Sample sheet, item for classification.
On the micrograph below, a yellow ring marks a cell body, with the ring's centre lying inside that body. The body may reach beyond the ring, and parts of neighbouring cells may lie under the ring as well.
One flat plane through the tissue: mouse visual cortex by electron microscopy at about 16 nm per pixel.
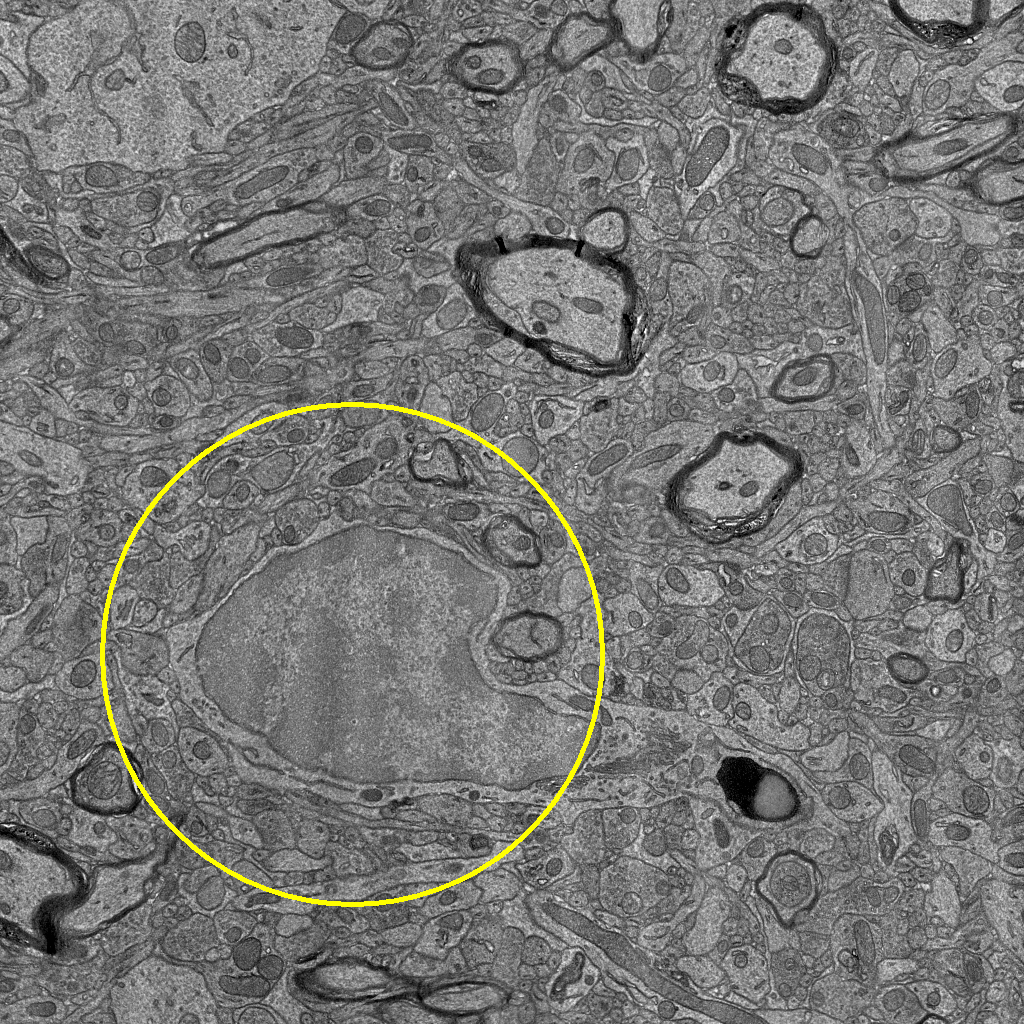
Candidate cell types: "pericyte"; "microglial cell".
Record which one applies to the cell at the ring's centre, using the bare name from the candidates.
microglial cell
